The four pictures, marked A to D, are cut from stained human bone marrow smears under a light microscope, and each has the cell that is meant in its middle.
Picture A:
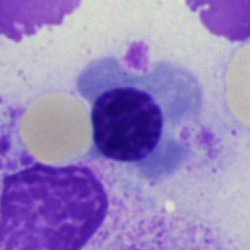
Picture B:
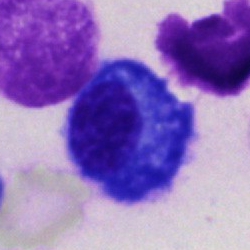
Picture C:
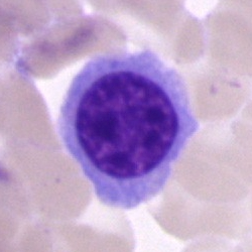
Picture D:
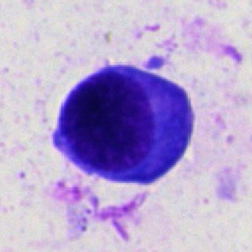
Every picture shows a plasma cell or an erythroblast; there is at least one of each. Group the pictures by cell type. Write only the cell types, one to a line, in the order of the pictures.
erythroblast
plasma cell
erythroblast
plasma cell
